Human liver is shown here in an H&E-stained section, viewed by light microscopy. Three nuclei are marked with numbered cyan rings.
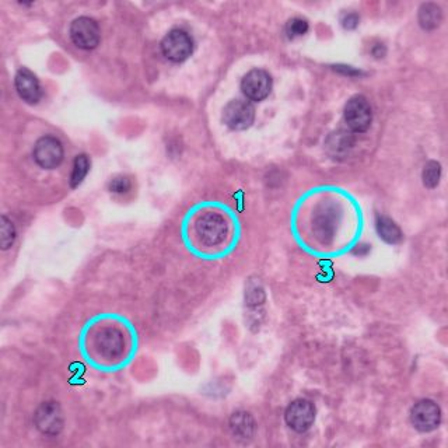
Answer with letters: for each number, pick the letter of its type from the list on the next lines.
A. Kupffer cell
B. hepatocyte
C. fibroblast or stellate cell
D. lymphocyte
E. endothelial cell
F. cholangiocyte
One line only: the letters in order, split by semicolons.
B; B; E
